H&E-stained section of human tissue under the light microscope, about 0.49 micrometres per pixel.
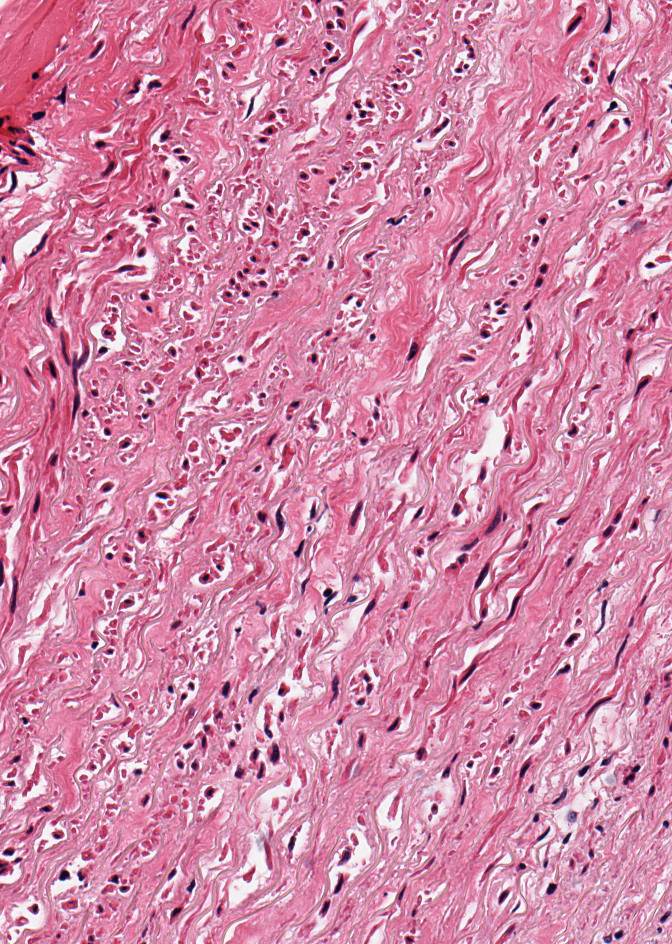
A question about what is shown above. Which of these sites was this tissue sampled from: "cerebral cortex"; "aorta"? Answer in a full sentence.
The site this tissue was sampled from is the aorta.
